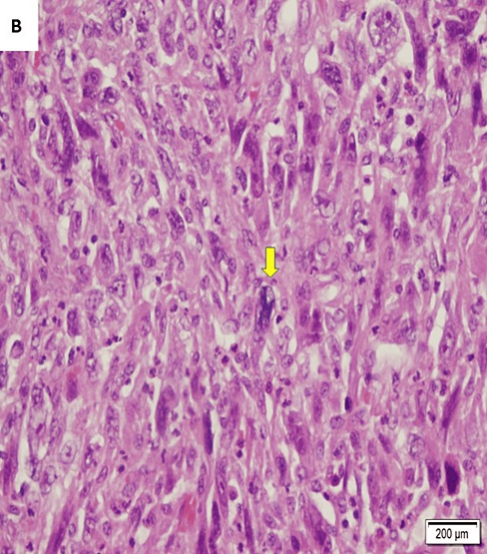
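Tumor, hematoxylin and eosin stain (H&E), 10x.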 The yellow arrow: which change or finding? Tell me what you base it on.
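Atypical mitosis. At the arrow tip lies a dark, irregular, clumped mass of chromatin.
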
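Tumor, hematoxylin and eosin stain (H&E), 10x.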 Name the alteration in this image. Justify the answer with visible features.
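Pleomorphism. Nuclei vary widely in size and shape, some oval, some large and irregular. Some cells have very large, dark, bizarre nuclei. Cells have ample pink cytoplasm.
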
